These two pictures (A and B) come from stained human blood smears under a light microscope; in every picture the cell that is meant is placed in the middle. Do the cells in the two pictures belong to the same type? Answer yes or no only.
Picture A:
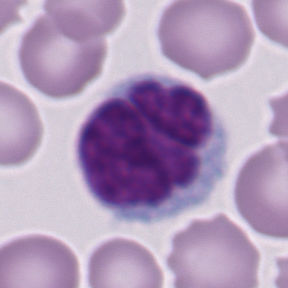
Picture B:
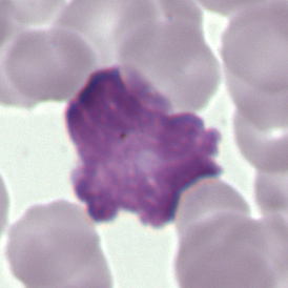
no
